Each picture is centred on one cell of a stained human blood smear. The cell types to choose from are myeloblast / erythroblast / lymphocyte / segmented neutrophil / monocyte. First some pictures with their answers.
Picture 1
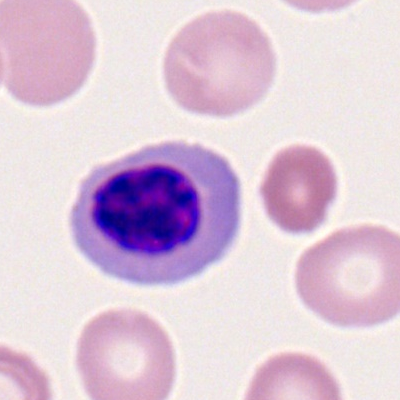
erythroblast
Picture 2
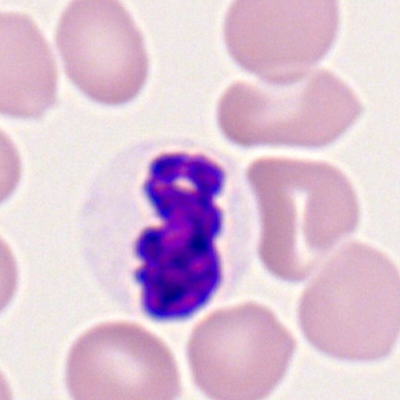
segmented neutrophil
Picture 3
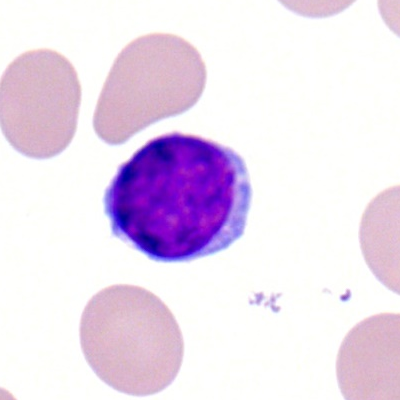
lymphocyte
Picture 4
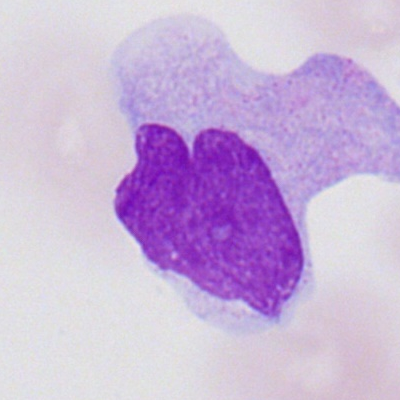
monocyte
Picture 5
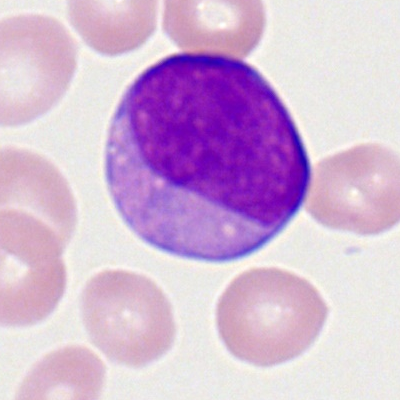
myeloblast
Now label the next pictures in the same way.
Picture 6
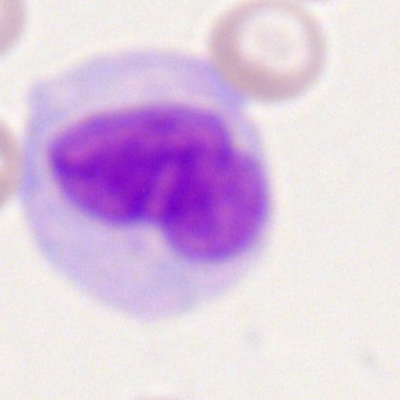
monocyte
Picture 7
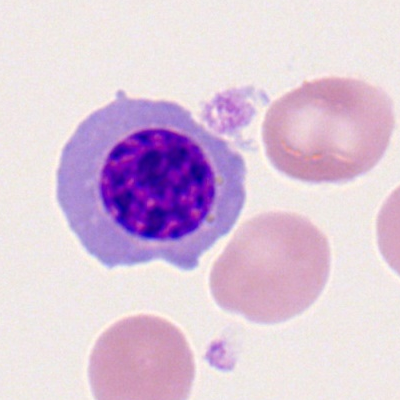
erythroblast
